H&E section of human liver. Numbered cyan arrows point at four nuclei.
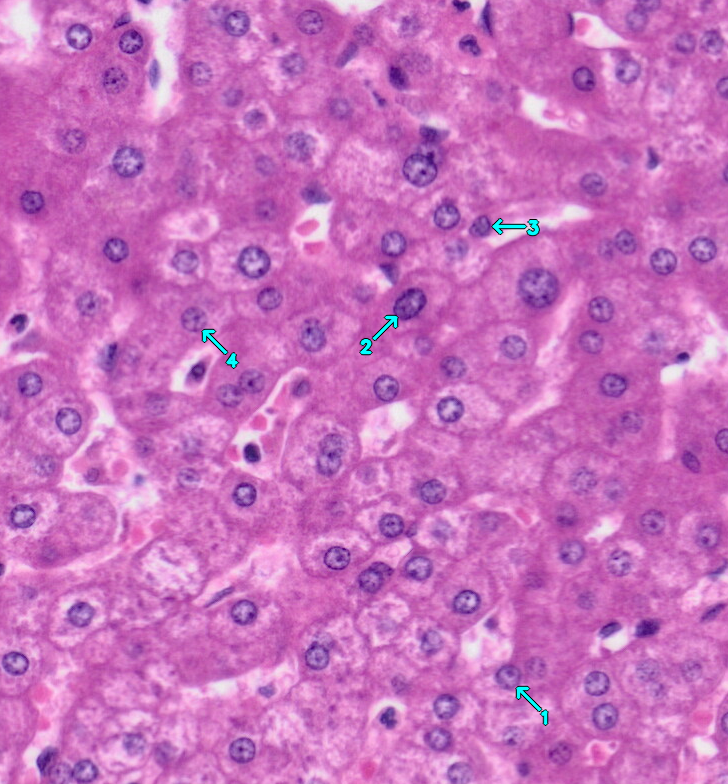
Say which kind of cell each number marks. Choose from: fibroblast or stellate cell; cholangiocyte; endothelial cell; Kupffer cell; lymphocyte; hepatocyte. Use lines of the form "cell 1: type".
cell 1: hepatocyte
cell 2: hepatocyte
cell 3: Kupffer cell
cell 4: hepatocyte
